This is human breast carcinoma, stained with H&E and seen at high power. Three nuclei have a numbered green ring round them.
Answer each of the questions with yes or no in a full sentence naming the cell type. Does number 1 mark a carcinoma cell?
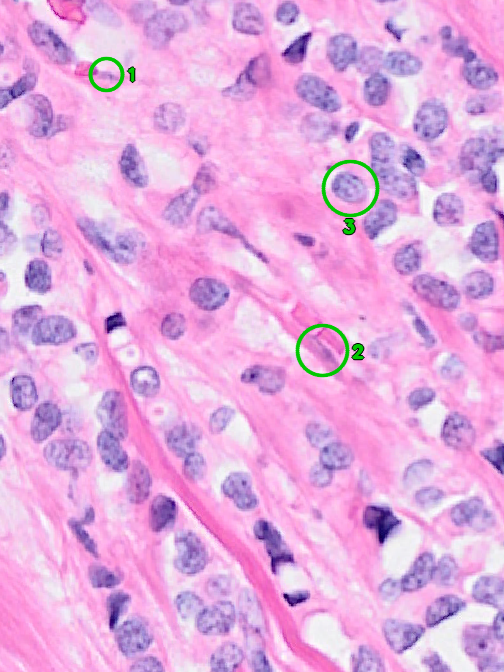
No, the cell identified by number 1 is an endothelial cell, not a carcinoma cell.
